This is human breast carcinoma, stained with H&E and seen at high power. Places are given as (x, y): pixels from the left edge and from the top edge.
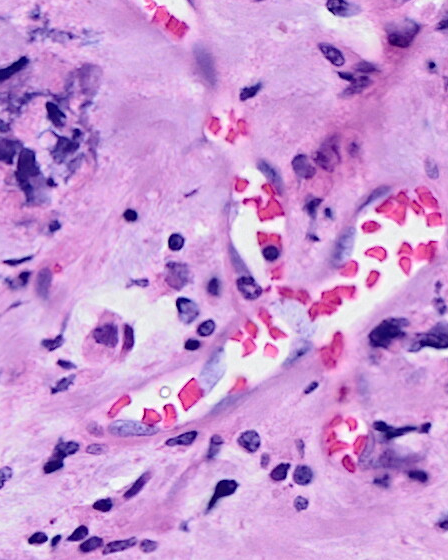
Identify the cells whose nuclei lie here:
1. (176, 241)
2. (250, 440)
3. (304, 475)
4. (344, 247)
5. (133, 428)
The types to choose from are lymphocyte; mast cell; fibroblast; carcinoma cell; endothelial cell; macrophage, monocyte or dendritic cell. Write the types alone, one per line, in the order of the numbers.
lymphocyte
lymphocyte
lymphocyte
endothelial cell
endothelial cell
